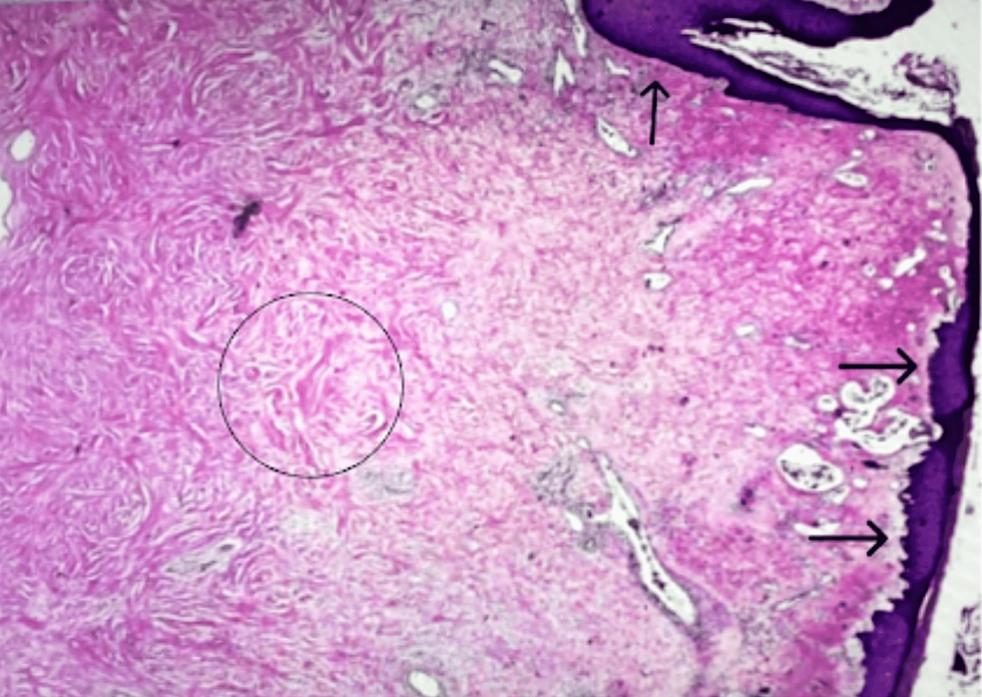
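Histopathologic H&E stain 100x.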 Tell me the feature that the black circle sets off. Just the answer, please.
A: dense collagen fibers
